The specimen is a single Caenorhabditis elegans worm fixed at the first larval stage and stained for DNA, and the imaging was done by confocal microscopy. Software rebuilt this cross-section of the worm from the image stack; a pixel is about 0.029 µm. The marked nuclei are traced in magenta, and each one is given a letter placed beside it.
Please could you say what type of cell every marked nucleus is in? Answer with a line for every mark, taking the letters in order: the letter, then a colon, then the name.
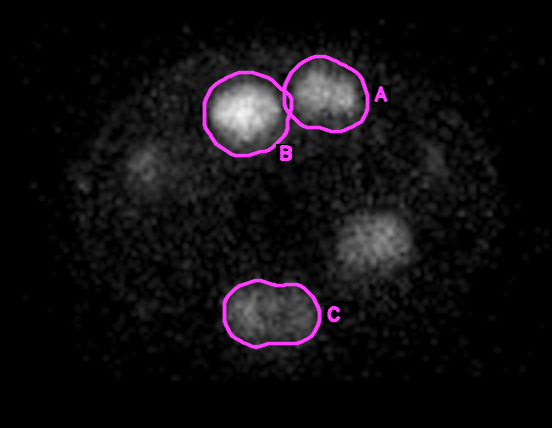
A: hypodermal cell (hyp)
B: neuron
C: seam cell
